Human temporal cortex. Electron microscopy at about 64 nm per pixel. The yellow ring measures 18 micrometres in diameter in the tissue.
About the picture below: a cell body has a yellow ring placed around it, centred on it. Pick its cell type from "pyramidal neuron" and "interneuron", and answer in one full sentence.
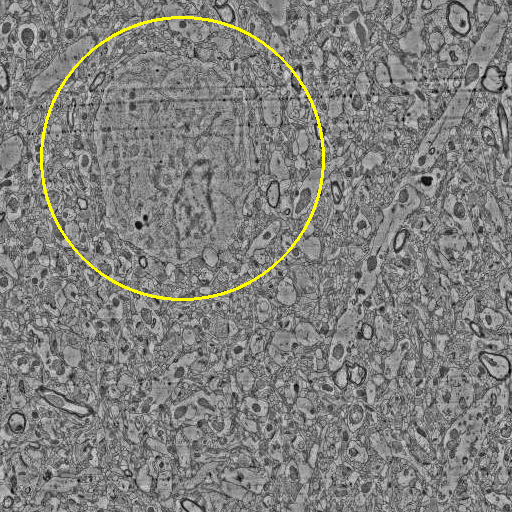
In the picture, an interneuron is the cell sitting at the centre of the yellow ring.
